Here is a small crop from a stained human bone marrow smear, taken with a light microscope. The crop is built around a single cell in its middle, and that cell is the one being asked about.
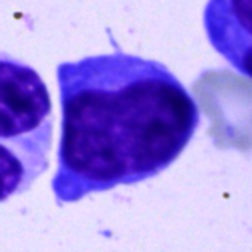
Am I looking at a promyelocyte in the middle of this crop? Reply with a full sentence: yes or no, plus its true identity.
No, the centre cell is not a promyelocyte but a blast.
